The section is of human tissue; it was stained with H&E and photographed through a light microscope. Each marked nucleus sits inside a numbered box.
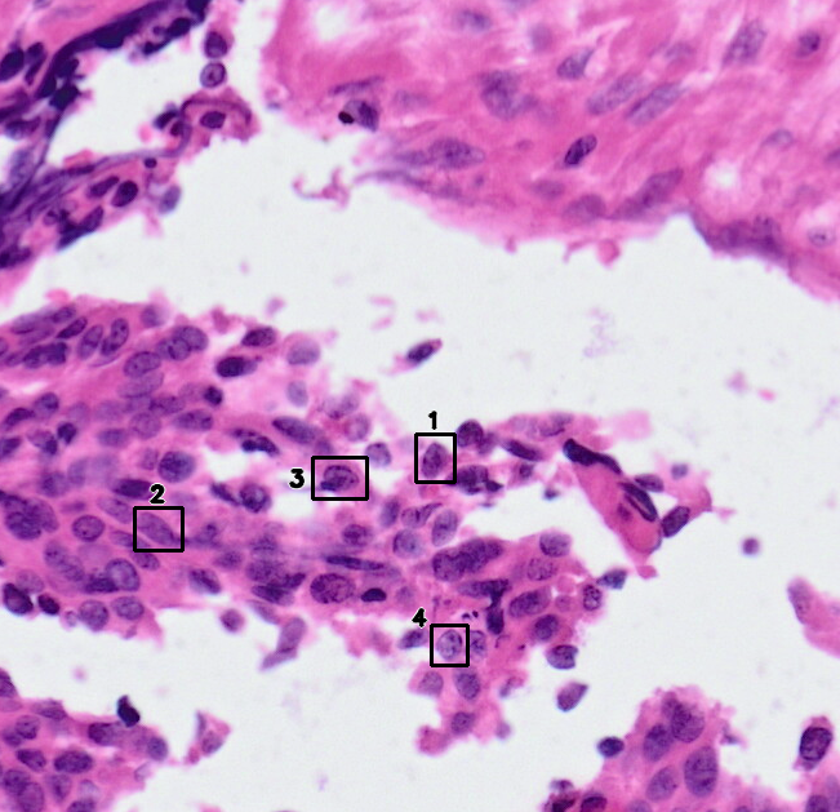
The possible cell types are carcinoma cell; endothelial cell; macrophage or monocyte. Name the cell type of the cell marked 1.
carcinoma cell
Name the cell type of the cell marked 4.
macrophage or monocyte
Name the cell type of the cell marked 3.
macrophage or monocyte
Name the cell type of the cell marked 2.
carcinoma cell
